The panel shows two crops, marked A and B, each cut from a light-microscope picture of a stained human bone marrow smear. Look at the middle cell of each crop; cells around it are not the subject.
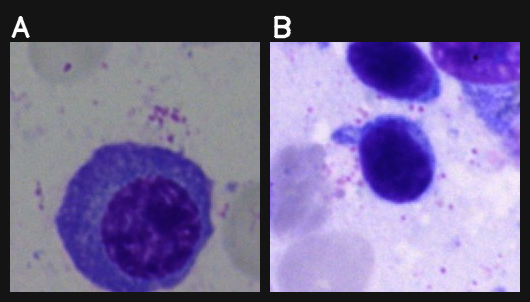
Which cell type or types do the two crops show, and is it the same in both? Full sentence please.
No, it is a plasma cell in crop A and a lymphocyte in crop B.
